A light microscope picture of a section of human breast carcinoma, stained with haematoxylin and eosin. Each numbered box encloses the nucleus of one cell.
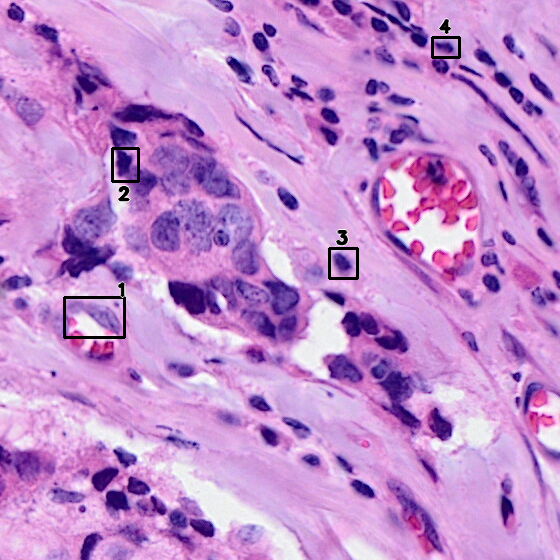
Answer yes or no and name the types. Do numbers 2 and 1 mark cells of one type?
No, cell 2 is a carcinoma cell, while cell 1 is an endothelial cell.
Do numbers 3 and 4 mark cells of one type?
Yes, the cell labelled 3 and the cell labelled 4 are both lymphocytes.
